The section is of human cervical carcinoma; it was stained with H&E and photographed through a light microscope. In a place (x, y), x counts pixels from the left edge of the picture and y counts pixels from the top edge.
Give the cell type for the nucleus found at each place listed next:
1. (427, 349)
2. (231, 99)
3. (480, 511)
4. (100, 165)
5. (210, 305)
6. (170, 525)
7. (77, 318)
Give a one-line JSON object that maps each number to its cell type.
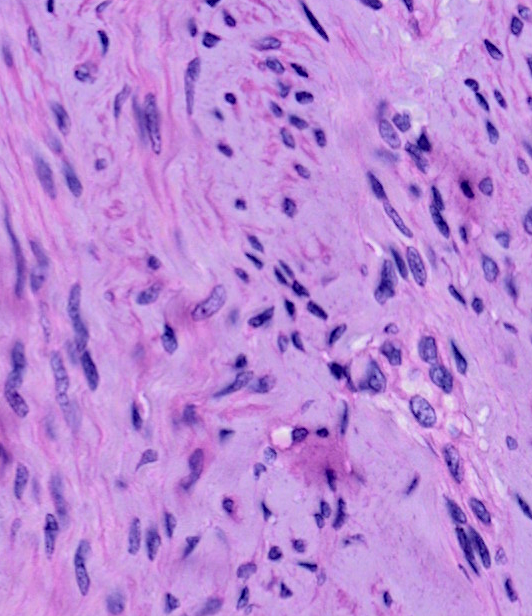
{"1": "endothelial cell", "2": "smooth muscle cell", "3": "endothelial cell", "4": "smooth muscle cell", "5": "smooth muscle cell", "6": "fibroblast", "7": "fibroblast"}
